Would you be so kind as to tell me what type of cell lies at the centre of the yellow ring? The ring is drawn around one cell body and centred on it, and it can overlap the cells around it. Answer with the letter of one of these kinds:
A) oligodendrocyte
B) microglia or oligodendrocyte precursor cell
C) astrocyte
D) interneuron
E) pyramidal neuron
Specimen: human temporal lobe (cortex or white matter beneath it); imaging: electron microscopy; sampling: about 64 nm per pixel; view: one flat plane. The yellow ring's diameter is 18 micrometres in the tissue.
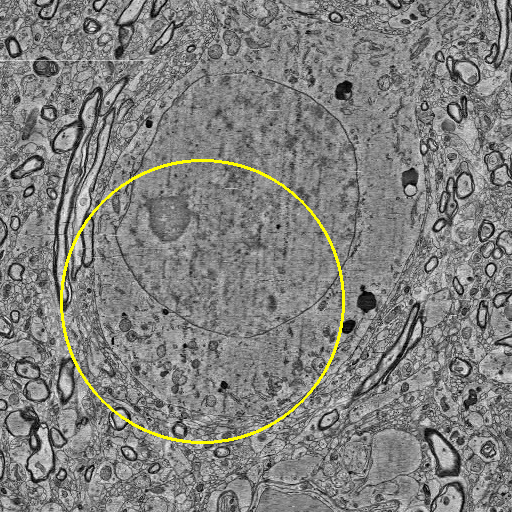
E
